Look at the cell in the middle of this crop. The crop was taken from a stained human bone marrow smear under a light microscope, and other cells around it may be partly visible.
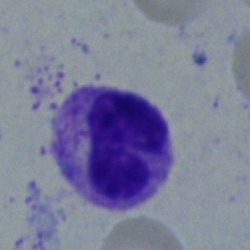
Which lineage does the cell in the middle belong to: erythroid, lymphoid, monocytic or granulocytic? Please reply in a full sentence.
The cell in the crop's center is a cell of the granulocytic lineage.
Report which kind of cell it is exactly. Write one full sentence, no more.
Where the crop is centred, there is a band neutrophil.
